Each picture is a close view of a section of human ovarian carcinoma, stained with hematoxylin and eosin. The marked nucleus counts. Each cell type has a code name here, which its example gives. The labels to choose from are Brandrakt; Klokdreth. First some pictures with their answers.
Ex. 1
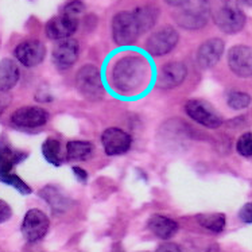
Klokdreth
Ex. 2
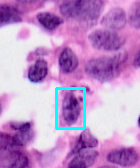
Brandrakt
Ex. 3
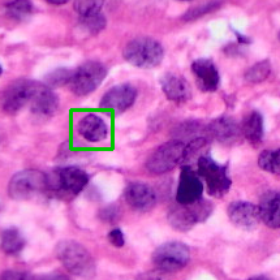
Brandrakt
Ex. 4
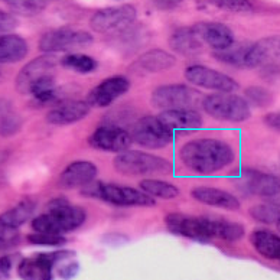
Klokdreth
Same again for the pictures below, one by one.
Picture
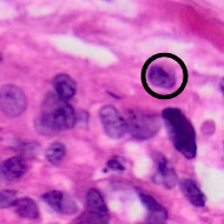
Brandrakt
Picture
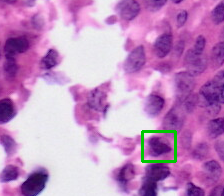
Klokdreth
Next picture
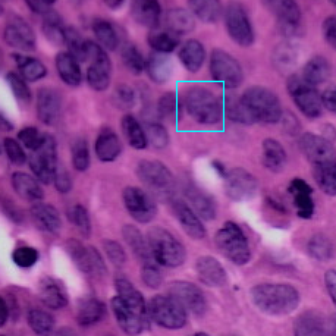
Klokdreth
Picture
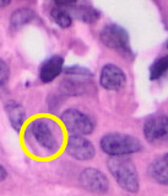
Brandrakt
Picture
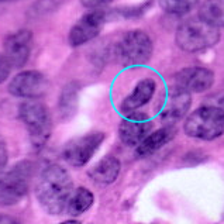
Brandrakt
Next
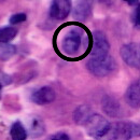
Brandrakt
